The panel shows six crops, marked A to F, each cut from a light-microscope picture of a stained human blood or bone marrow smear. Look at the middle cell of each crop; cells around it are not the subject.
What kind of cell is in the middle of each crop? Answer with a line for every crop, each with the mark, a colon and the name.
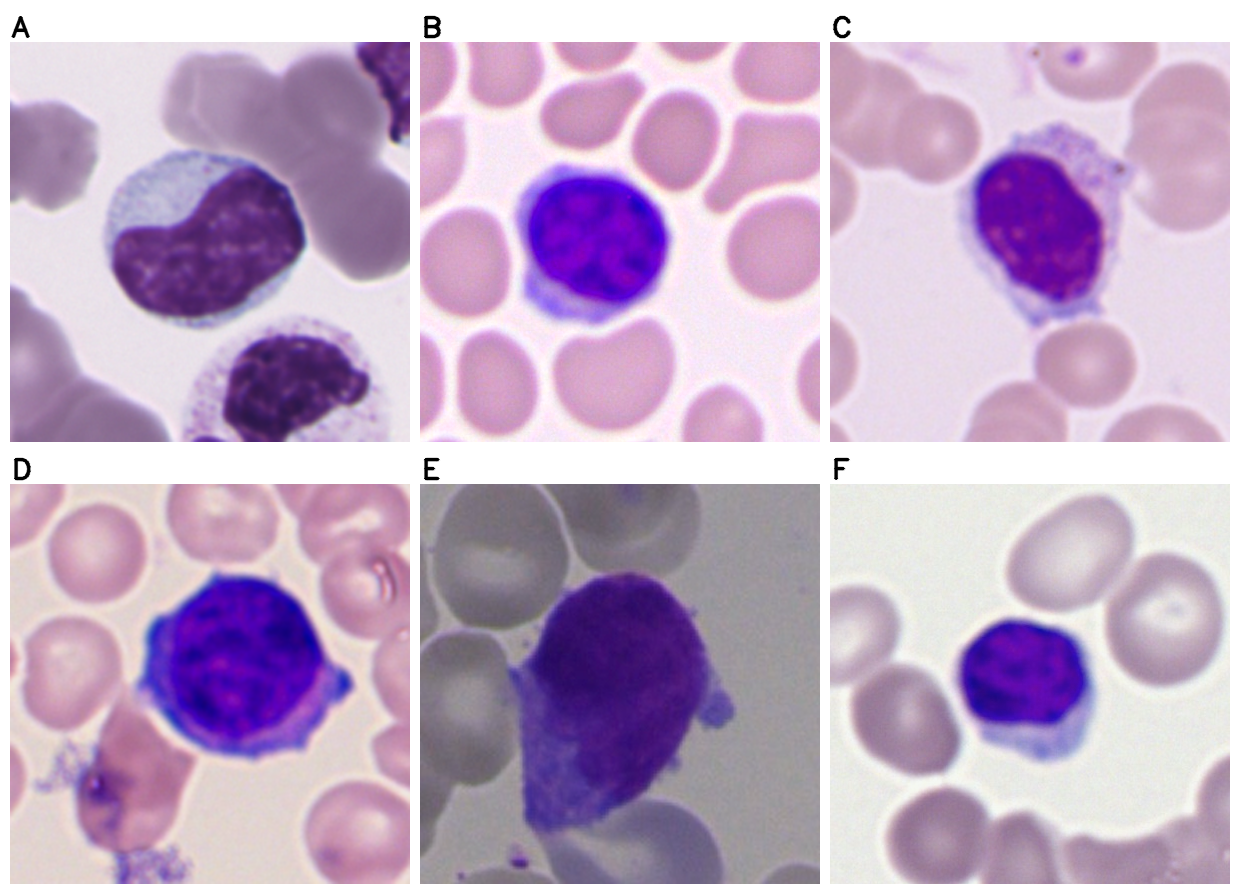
A: lymphocyte
B: lymphocyte
C: lymphocyte
D: blast
E: blast
F: lymphocyte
